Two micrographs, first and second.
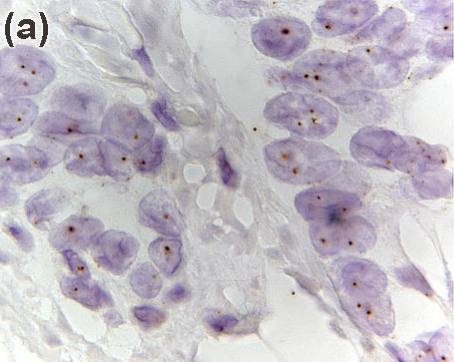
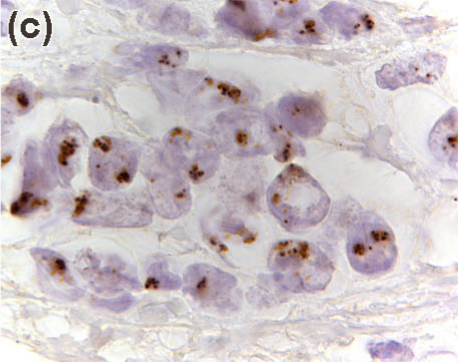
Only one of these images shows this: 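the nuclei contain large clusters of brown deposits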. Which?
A: The second image.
